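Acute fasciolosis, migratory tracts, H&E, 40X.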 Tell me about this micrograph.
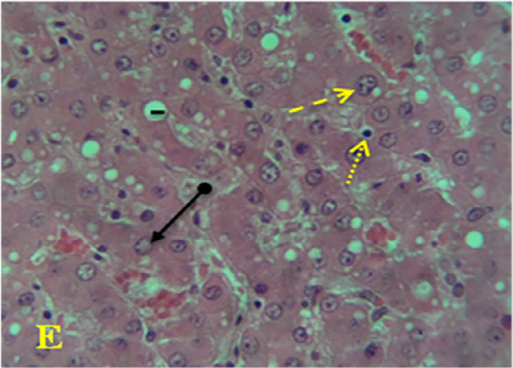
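This is liver parenchyma made of polygonal hepatocytes with round nuclei and pale pink cytoplasm. Many round, clear, empty vacuoles of differing size are scattered through the cytoplasm. Small clusters of red blood cells sit in the spaces between the cell cords.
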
